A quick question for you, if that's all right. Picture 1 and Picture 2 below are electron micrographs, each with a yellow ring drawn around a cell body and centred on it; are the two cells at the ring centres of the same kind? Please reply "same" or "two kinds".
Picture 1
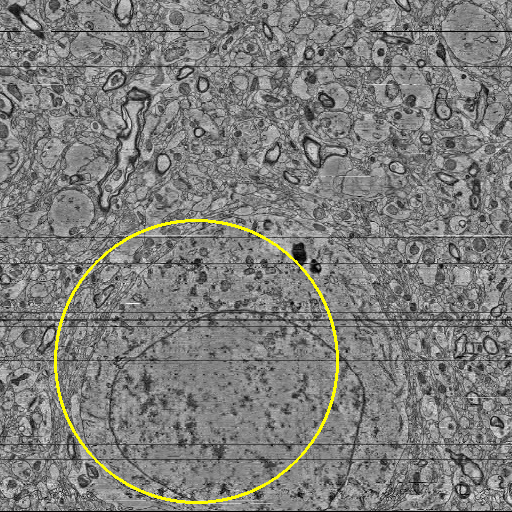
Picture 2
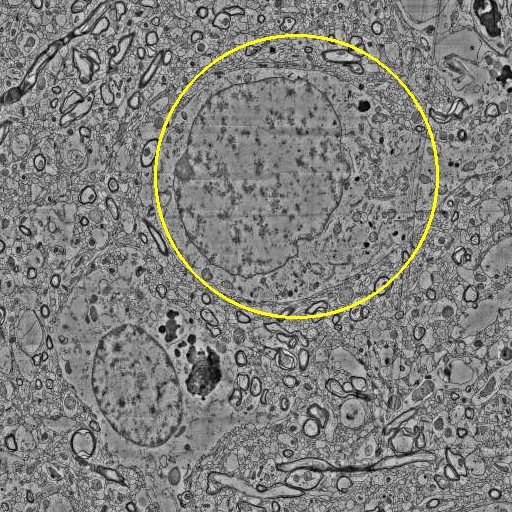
same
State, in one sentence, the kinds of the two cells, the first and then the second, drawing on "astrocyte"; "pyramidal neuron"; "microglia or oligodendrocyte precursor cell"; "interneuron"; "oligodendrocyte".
In the first picture and in the second, the ring is centred on a pyramidal neuron.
